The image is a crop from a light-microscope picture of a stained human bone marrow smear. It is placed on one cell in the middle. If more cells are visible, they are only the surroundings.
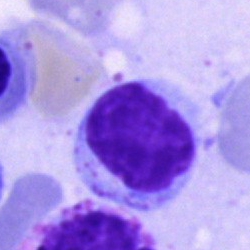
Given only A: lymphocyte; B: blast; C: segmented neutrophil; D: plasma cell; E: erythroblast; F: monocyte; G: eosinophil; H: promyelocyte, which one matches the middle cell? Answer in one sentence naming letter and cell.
The cell in the middle is a lymphocyte, and that makes option A correct.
